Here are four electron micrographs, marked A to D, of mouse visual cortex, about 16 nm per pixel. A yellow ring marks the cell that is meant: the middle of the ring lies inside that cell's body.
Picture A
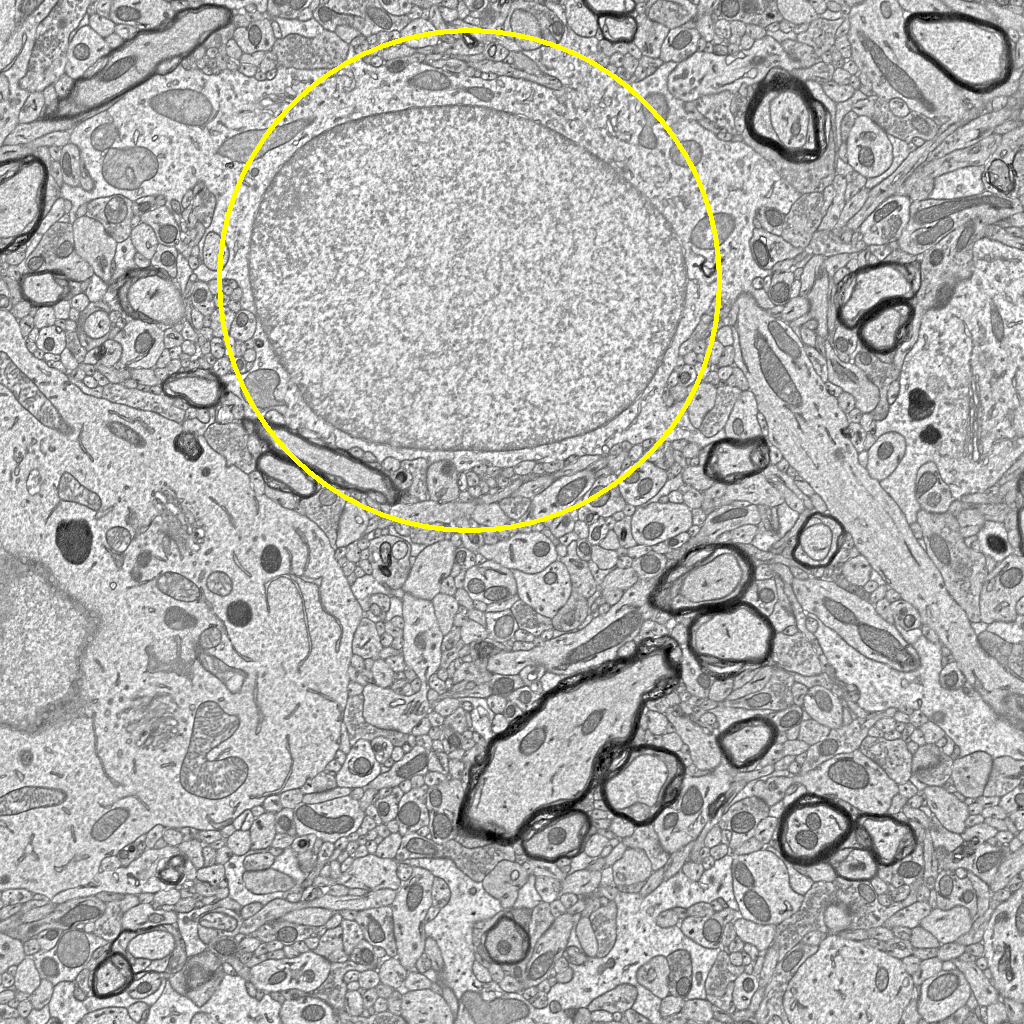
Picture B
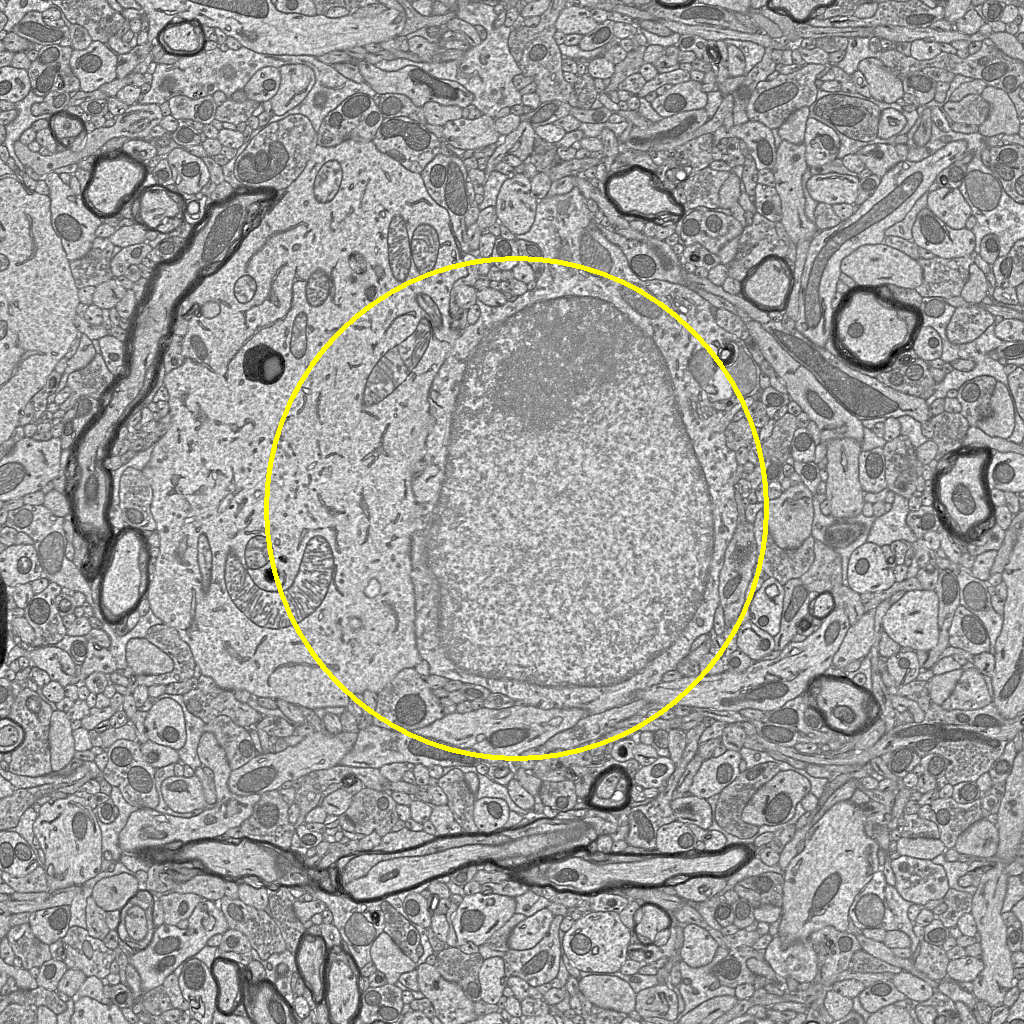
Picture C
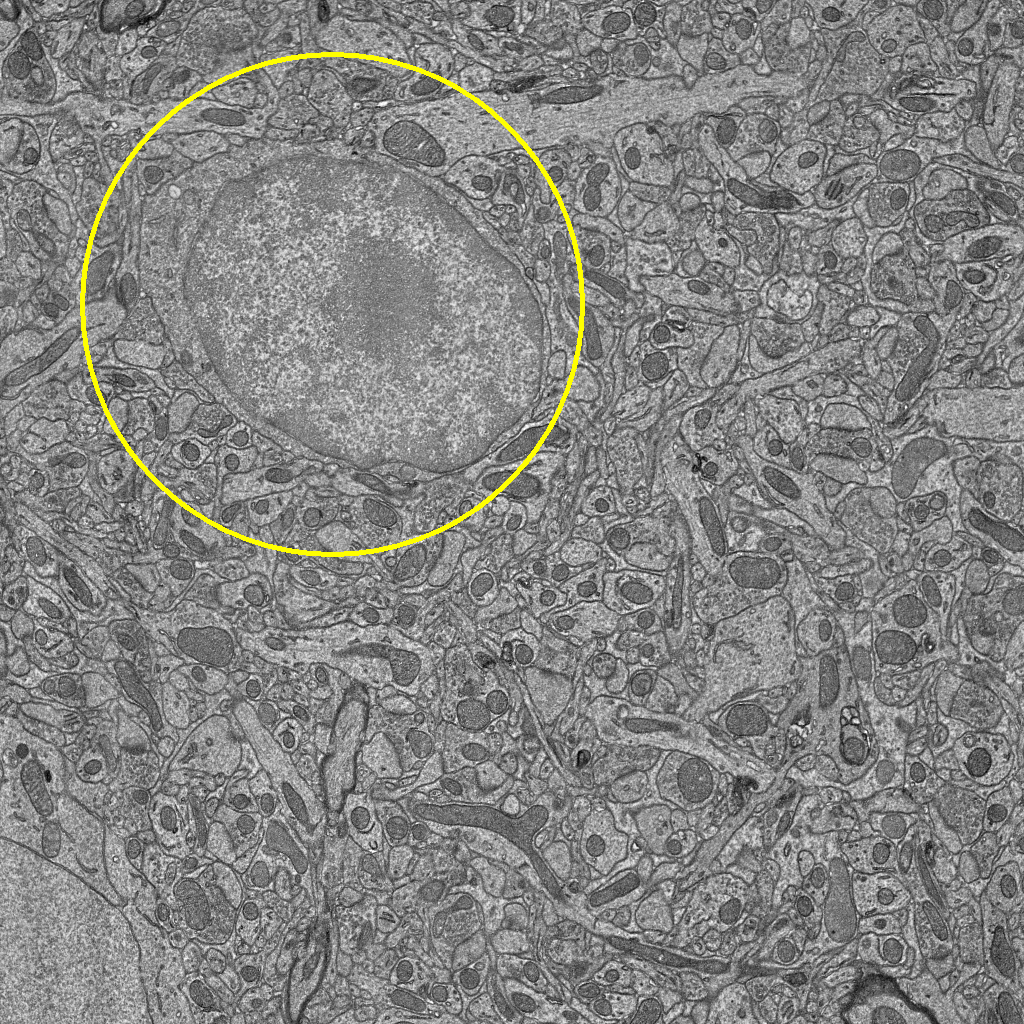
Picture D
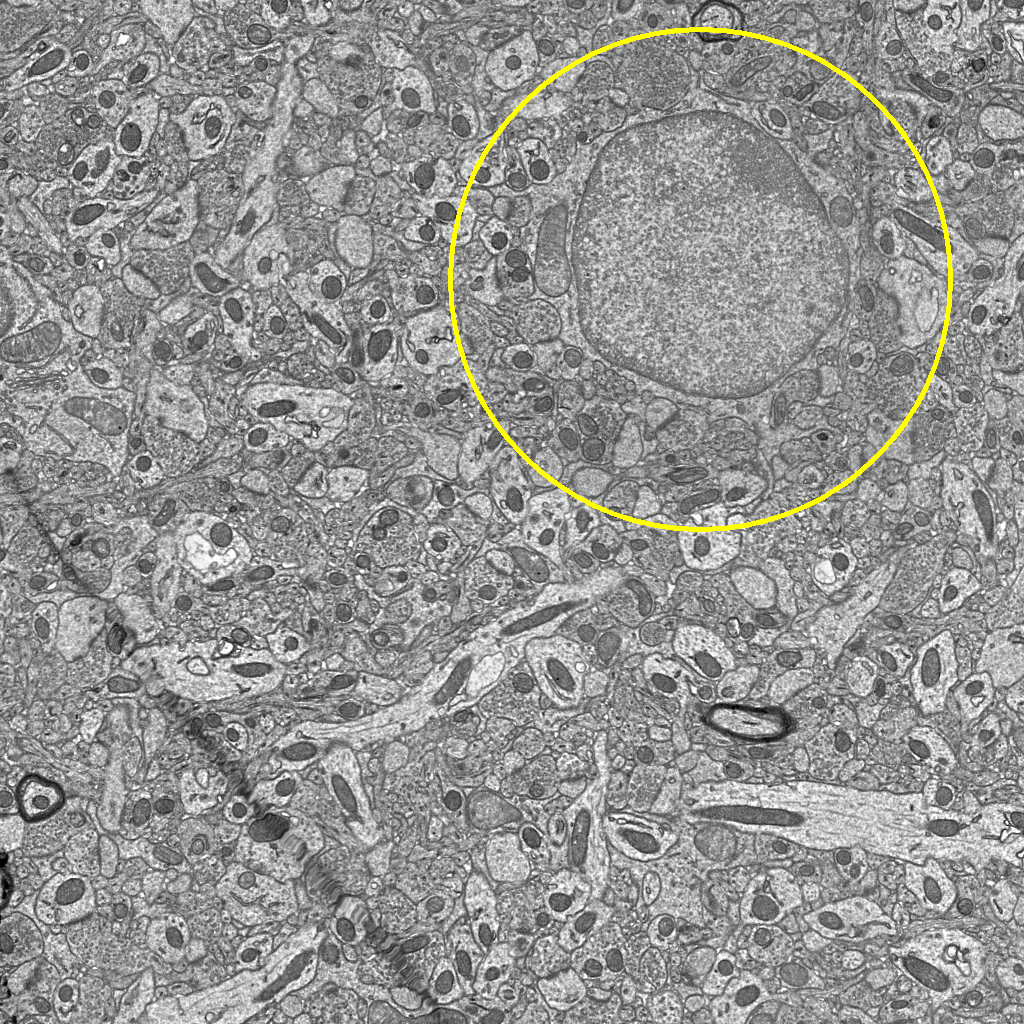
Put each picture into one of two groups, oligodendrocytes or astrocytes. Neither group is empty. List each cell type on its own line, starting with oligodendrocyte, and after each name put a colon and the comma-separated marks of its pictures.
oligodendrocyte: C
astrocyte: A, B, D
